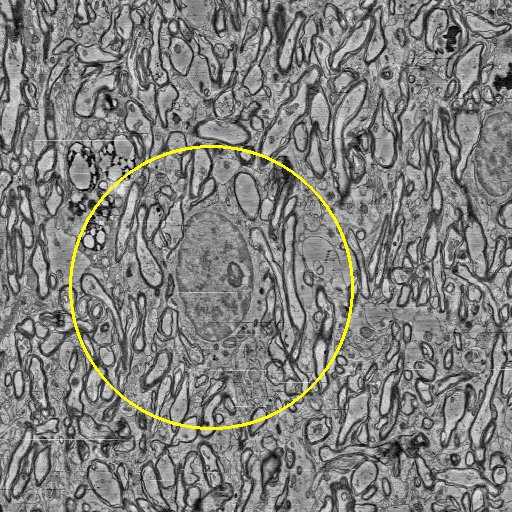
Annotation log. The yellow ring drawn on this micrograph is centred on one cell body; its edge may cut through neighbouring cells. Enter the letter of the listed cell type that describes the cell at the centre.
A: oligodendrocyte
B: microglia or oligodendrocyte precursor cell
A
